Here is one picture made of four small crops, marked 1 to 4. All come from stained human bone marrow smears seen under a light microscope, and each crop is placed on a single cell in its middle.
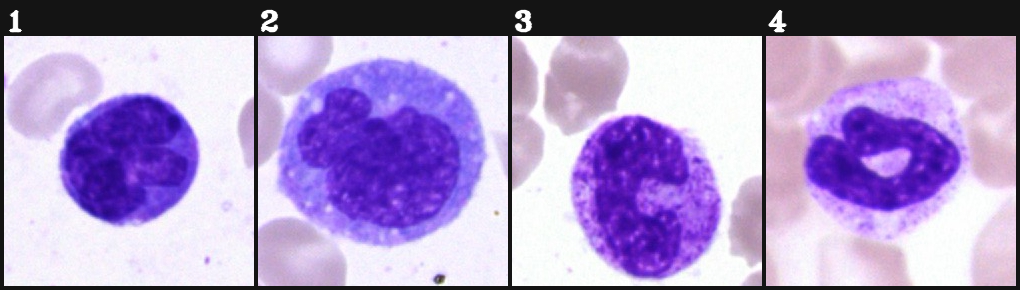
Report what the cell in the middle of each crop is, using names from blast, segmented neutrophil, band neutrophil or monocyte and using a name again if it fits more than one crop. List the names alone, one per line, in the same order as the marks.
monocyte
monocyte
band neutrophil
band neutrophil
